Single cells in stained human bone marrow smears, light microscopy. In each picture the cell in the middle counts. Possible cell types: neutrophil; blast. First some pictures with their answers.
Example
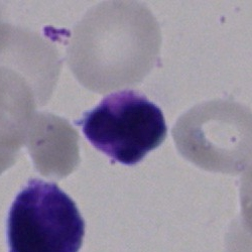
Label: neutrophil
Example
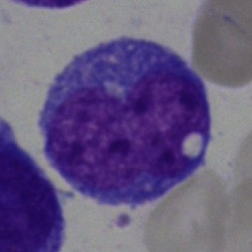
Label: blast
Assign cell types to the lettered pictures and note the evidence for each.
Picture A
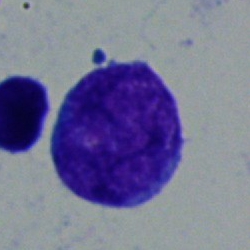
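Label: blast. The chromatin looks fine and evenly spread rather than coarsely clumped.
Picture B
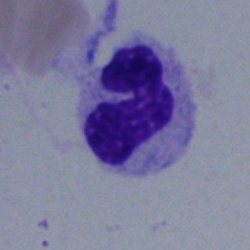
Label: neutrophil. The chromatin is dark purple and dense, with a coarse, clumped look.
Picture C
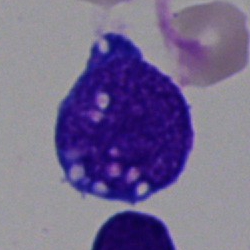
Label: blast. The chromatin looks finely stippled rather than coarsely clumped.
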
